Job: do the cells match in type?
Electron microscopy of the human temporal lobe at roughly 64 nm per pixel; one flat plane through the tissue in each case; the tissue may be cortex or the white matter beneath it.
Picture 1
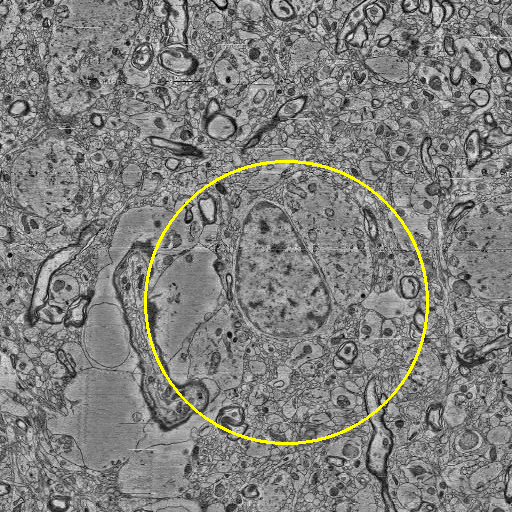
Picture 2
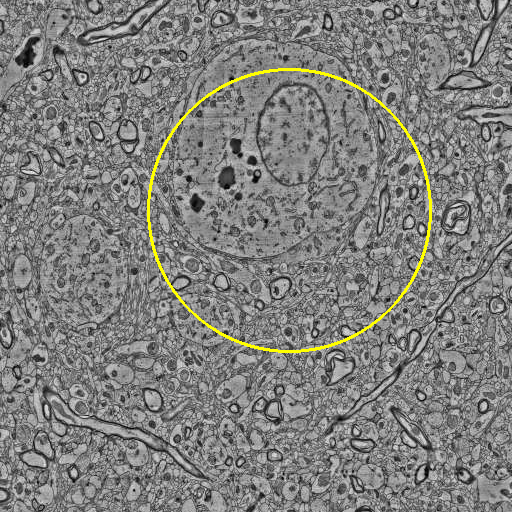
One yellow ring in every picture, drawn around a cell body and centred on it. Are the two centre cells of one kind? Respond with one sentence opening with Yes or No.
No, the ringed cells in the two pictures are of two separate kinds.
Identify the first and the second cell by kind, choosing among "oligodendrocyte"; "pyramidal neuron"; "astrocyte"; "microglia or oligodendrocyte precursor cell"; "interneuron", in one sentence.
The one in the first picture is a microglial cell or oligodendrocyte precursor cell, while the one in the second is an oligodendrocyte.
